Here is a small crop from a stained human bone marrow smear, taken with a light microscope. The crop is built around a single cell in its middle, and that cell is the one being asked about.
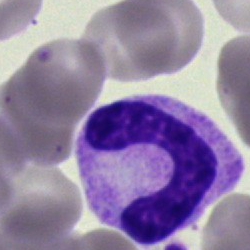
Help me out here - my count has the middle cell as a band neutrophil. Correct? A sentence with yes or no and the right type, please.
Yes, the central cell here is a band neutrophil.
